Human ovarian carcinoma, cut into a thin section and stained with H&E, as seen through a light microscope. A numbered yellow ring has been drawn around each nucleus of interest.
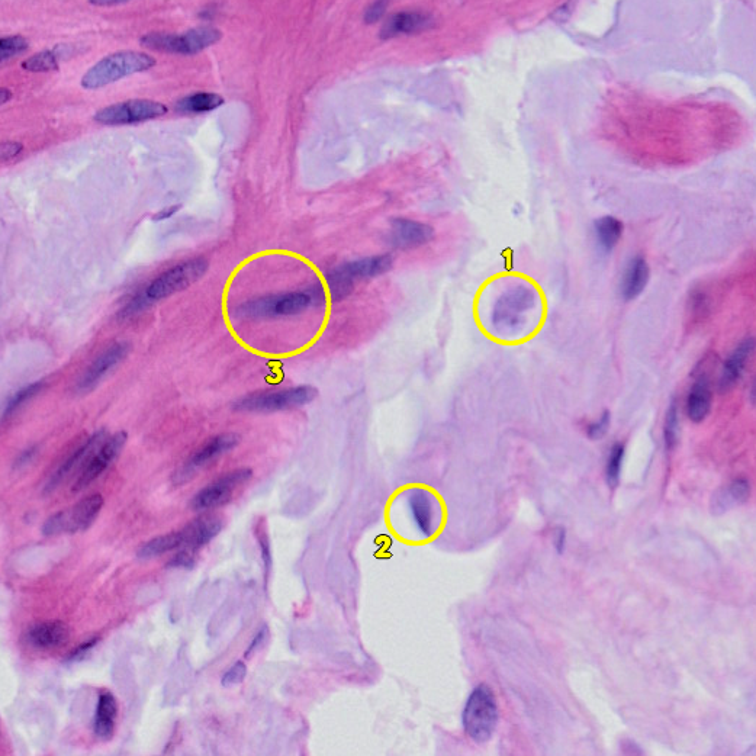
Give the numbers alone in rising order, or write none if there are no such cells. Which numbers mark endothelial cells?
2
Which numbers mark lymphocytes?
none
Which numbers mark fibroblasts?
1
